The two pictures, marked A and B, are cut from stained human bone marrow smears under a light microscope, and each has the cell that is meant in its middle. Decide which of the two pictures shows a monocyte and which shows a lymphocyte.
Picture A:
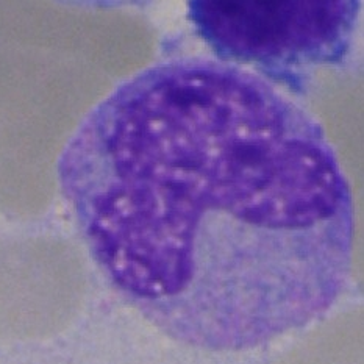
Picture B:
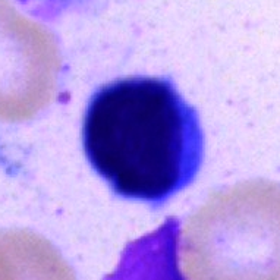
A: monocyte
B: lymphocyte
